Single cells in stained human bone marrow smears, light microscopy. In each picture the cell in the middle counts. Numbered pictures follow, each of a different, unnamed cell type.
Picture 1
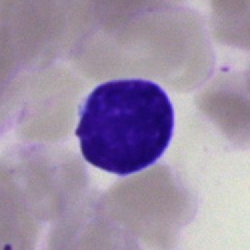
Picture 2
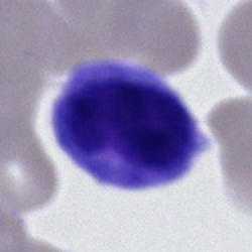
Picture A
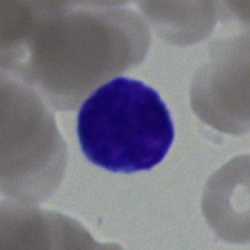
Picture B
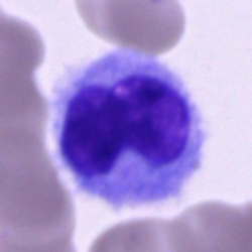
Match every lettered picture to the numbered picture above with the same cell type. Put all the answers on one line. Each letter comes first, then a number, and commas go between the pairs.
A 1, B 2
